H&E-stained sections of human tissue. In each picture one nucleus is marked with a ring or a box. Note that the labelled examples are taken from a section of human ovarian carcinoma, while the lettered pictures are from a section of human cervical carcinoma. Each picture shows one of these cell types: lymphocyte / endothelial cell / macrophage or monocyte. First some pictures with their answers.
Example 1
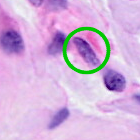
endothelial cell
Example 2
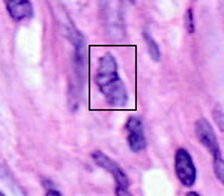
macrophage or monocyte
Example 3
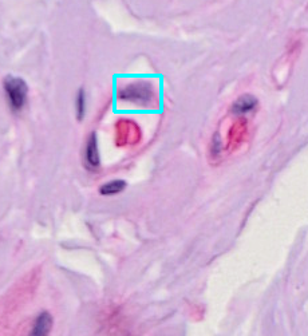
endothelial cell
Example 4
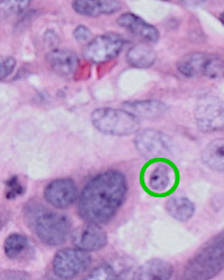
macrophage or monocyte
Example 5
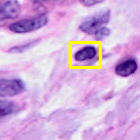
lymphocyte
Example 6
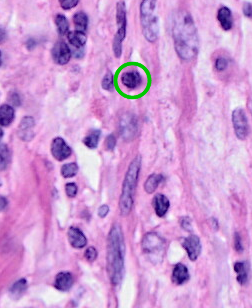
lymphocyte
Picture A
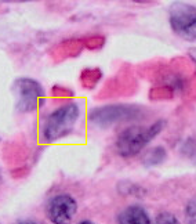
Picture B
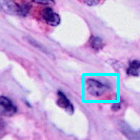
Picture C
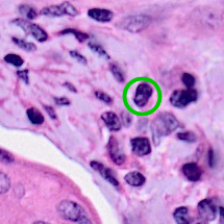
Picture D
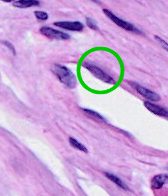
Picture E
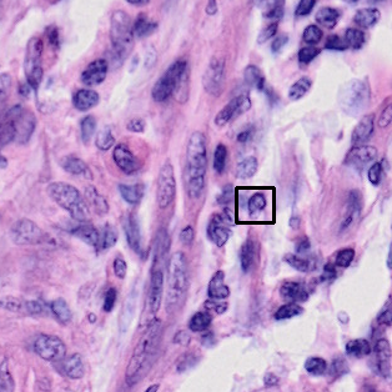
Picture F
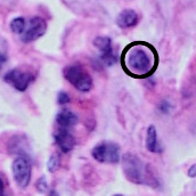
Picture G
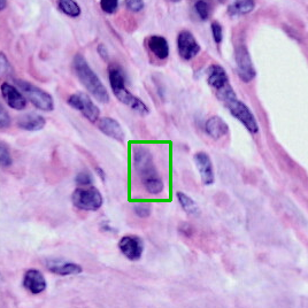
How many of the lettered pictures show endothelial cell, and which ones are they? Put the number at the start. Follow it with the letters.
2: A, D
